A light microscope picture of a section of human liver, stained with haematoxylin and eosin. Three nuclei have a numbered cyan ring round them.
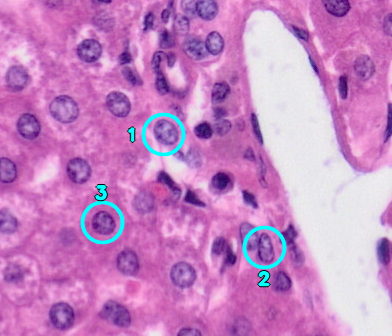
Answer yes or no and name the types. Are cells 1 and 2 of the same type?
Yes, in this tissue section, cells 1 and 2 are both cholangiocytes.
